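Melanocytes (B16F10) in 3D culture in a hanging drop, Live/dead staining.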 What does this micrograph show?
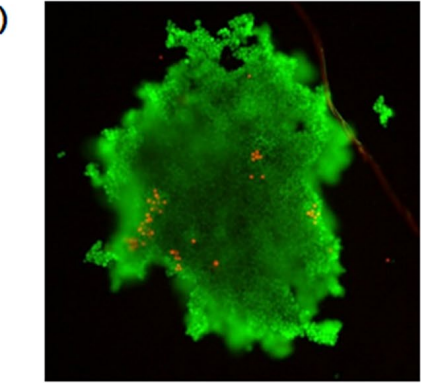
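A single large, irregular mass of densely packed cells fills most of the field and fluoresces bright green throughout. Its edges are ragged and lobulated, and a few small green clusters have broken away beside it. Scattered within the mass are a few small, round orange-red dots, far fewer than the green cells.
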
